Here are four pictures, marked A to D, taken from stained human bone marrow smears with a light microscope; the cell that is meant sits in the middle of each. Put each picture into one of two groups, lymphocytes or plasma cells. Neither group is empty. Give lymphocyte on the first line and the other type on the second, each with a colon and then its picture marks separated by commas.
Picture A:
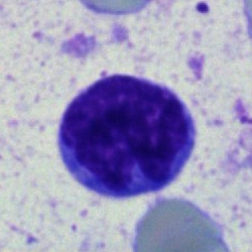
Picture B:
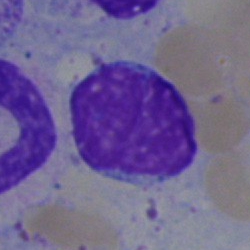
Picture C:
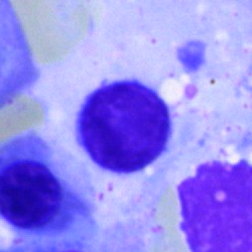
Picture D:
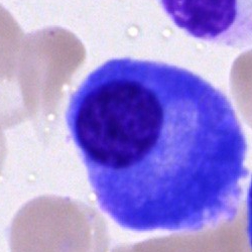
lymphocyte: A, B, C
plasma cell: D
